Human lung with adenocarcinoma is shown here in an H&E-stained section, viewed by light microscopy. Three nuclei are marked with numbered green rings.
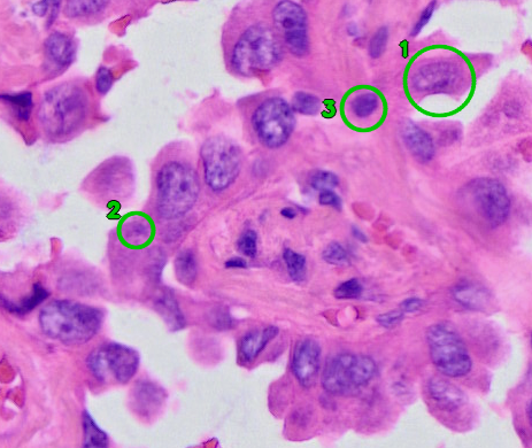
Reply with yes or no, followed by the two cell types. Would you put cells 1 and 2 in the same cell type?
Yes, both are carcinoma cells.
